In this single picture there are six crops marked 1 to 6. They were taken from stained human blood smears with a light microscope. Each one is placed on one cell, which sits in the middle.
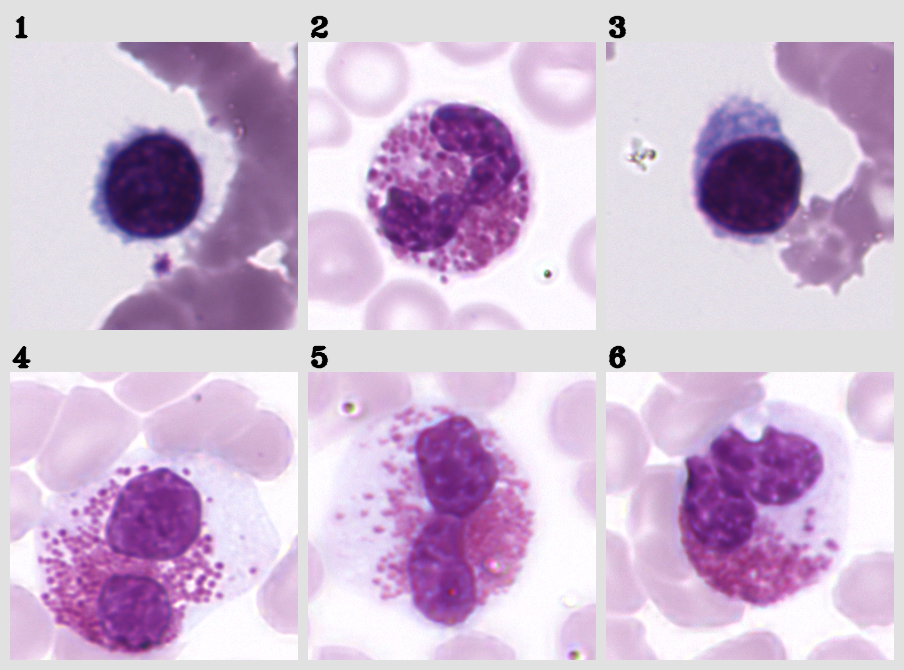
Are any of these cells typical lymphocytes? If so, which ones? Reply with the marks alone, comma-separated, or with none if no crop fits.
none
